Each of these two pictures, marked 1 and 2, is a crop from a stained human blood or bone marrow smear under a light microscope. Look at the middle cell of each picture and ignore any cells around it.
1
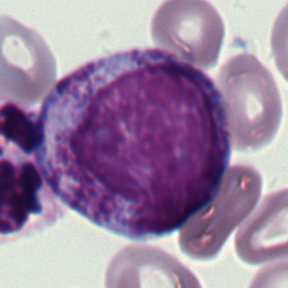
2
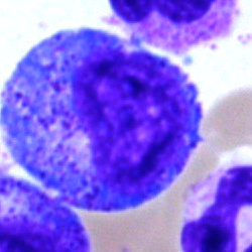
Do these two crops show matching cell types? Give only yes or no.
yes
